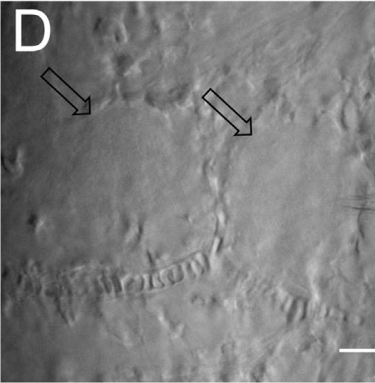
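The somata appear as smooth, slightly raised round profiles with low internal contrast, separated by a finely textured background. Along the lower left runs a narrow tube packed with a chain of small disc-like bodies, a capillary holding red blood cells. Smaller irregular profiles are scattered between the large somata across the field.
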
